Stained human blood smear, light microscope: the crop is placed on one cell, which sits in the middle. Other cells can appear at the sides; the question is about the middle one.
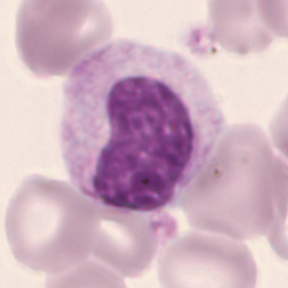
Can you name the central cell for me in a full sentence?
To answer, the cell in the center of the crop is a metamyelocyte.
